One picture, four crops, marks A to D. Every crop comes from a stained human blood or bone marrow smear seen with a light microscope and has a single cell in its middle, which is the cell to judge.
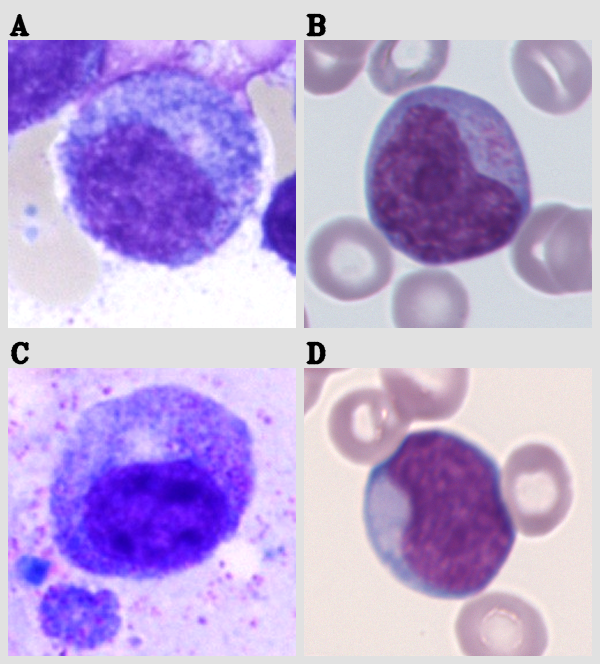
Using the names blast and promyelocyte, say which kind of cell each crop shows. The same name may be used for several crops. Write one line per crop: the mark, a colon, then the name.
A: promyelocyte
B: promyelocyte
C: promyelocyte
D: blast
